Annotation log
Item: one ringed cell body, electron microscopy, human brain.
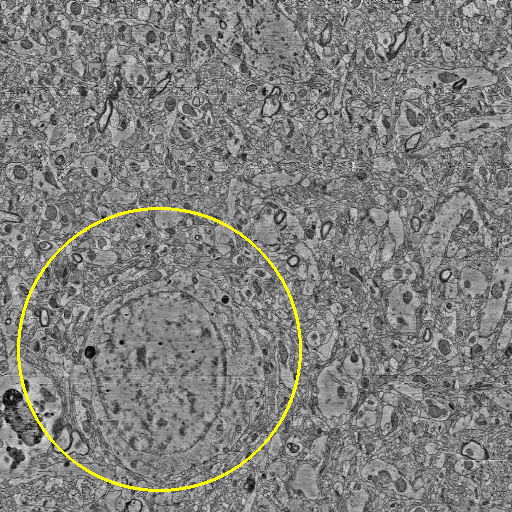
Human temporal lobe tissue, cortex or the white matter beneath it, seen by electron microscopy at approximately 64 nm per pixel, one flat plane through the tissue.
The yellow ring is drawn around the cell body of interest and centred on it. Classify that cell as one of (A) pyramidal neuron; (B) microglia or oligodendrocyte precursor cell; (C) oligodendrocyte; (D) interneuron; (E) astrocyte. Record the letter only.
D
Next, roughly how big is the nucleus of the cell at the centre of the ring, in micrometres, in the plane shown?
About 11 by 9 micrometers for the nucleus, in this plane.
